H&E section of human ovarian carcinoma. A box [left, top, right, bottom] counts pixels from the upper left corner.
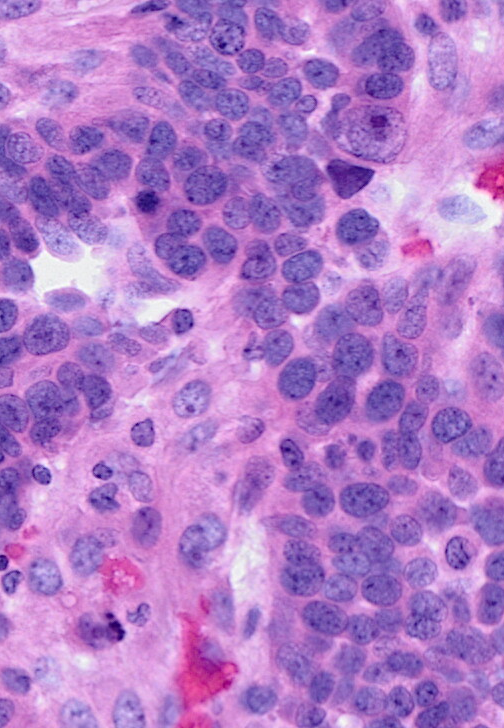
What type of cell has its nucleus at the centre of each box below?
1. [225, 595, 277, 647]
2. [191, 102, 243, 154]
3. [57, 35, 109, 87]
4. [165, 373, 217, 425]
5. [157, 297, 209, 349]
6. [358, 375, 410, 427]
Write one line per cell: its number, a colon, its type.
1: macrophage or monocyte
2: carcinoma cell
3: fibroblast
4: fibroblast
5: macrophage or monocyte
6: carcinoma cell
